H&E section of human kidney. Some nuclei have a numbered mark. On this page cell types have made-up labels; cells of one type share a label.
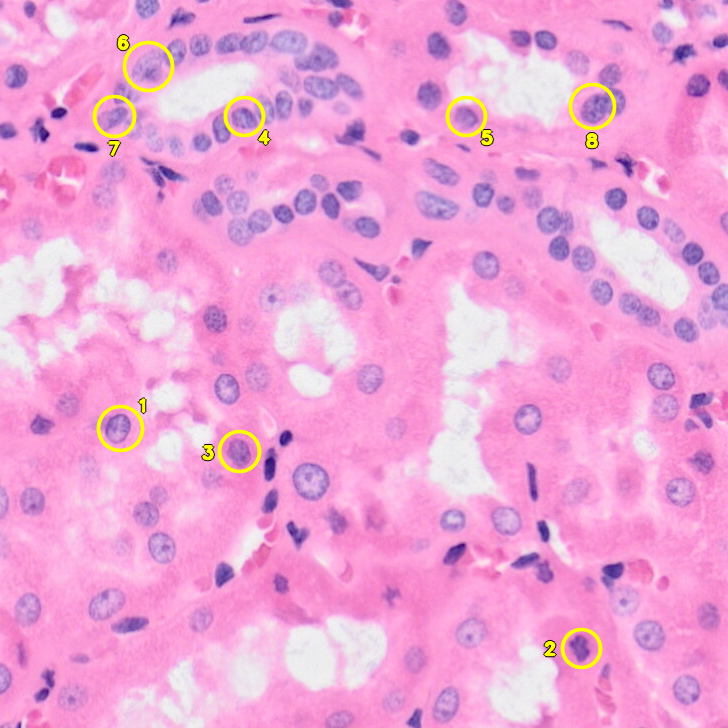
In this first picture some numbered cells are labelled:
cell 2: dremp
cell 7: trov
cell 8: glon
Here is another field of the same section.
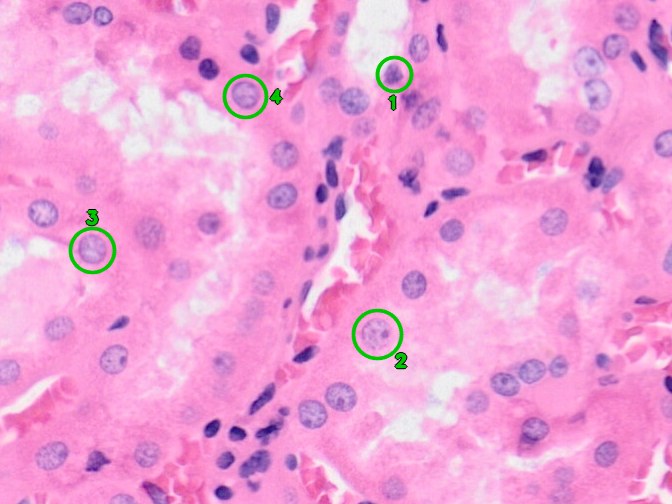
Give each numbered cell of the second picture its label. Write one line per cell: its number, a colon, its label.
1: glon
2: dremp
3: dremp
4: dremp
